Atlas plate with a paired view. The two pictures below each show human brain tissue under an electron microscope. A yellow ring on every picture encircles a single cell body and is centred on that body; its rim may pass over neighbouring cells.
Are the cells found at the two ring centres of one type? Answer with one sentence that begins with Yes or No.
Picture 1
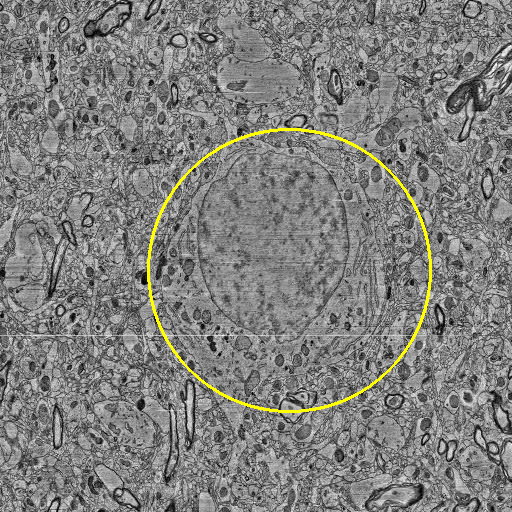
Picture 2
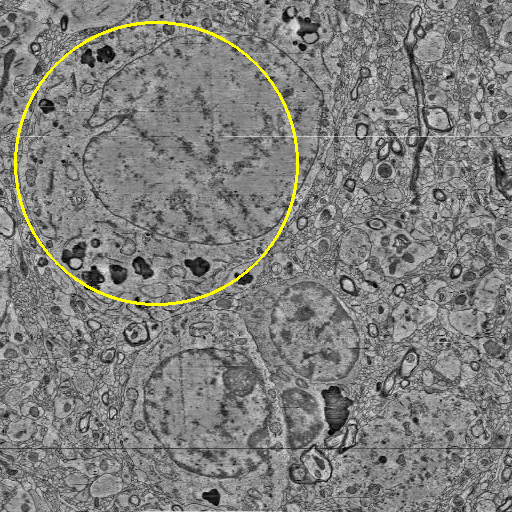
No, the two cells lying at the centres of the rings are of two types.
